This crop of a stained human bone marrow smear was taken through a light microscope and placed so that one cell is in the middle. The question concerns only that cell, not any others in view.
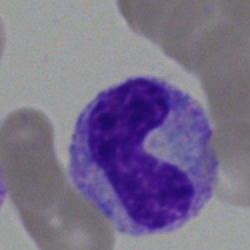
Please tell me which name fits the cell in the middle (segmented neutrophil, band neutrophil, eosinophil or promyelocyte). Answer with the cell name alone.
band neutrophil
